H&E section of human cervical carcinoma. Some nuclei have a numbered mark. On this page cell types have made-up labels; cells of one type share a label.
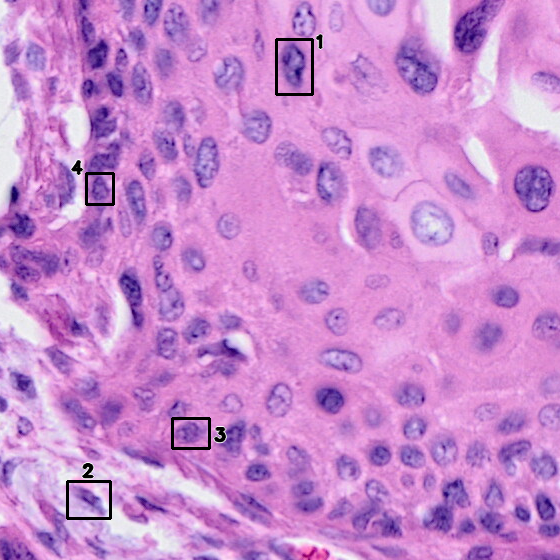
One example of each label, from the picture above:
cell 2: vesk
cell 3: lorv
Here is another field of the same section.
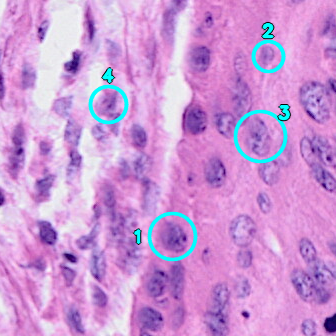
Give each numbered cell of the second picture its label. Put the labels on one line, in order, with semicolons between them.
lorv; lorv; lorv; vesk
